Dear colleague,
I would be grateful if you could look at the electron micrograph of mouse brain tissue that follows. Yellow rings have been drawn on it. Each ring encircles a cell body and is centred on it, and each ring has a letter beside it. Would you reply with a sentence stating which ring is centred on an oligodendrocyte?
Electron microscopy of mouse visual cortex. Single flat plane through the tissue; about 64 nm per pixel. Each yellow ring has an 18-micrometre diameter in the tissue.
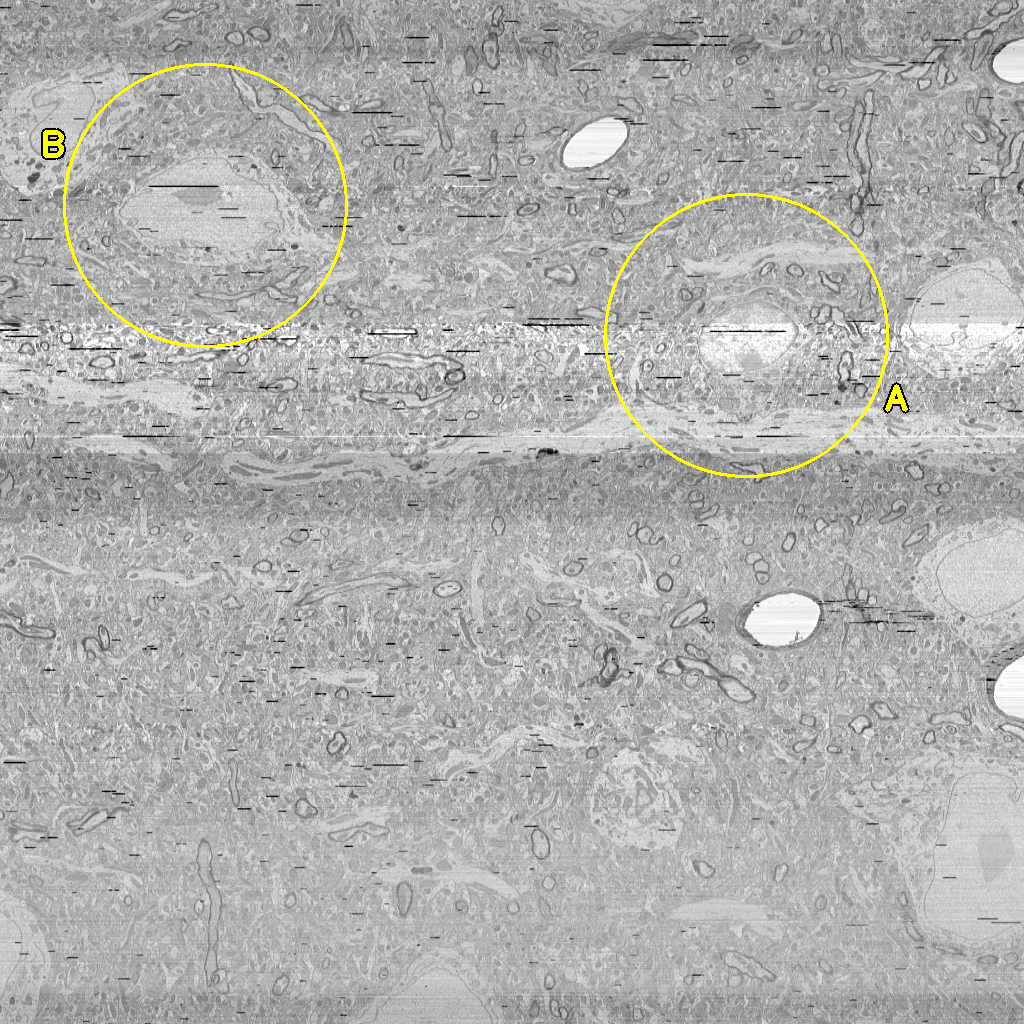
The ring centred on it is ring A.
